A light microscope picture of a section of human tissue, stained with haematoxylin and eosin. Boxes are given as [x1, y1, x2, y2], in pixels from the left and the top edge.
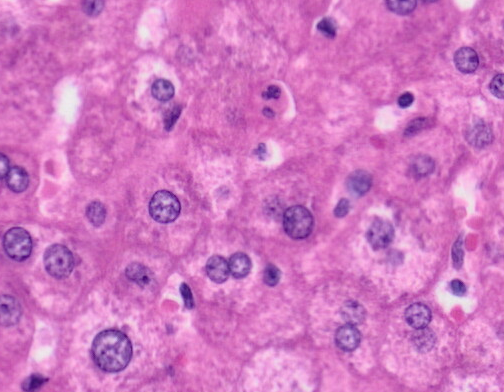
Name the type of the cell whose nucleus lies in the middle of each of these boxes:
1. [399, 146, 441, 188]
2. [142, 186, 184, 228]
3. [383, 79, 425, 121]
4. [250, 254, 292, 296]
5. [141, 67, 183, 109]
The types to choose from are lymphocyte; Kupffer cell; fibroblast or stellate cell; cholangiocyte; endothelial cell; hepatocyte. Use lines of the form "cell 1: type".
cell 1: hepatocyte
cell 2: hepatocyte
cell 3: lymphocyte
cell 4: endothelial cell
cell 5: hepatocyte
